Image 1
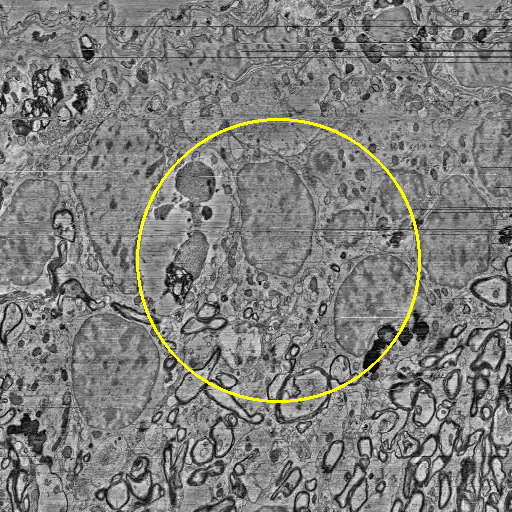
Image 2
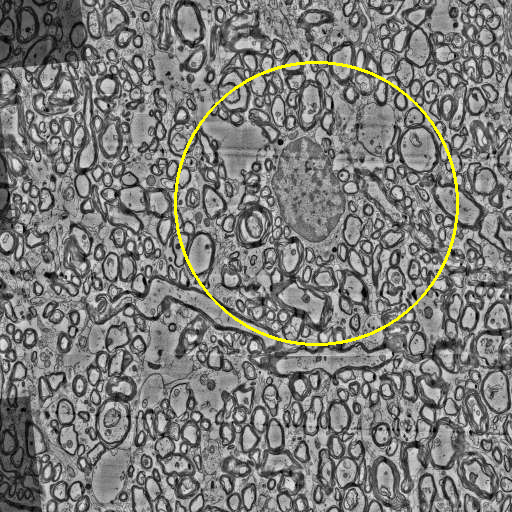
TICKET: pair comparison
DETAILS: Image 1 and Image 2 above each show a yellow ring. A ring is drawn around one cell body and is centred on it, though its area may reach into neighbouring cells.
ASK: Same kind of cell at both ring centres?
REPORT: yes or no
yes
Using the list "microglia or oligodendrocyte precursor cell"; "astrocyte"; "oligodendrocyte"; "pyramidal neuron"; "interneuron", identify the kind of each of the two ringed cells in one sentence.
Both rings mark an oligodendrocyte, one in each picture.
